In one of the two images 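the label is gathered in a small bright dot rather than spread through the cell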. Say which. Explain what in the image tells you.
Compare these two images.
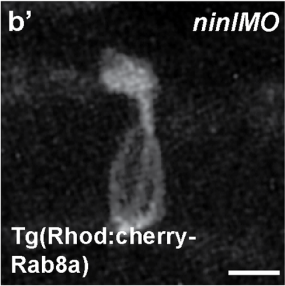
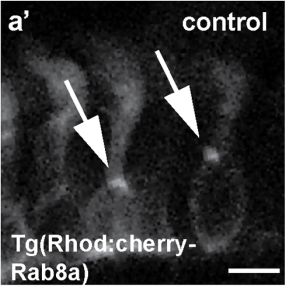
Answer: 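Second image: faintly outlined cells each hold a small bright spot marked by an arrow.
The second image.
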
